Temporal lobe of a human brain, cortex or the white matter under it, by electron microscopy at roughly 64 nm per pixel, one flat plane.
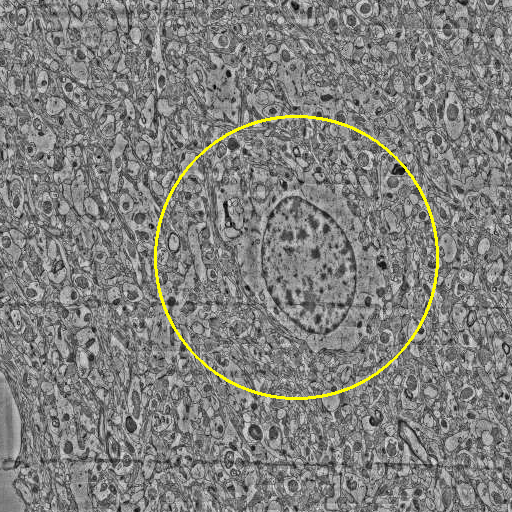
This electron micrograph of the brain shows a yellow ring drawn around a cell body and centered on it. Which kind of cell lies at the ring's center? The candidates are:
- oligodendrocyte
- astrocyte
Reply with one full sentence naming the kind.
The cell lying at the ring's center in this micrograph is an astrocyte.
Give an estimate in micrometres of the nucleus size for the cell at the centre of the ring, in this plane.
In this plane, about 9 micrometres in length and 6 in width.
